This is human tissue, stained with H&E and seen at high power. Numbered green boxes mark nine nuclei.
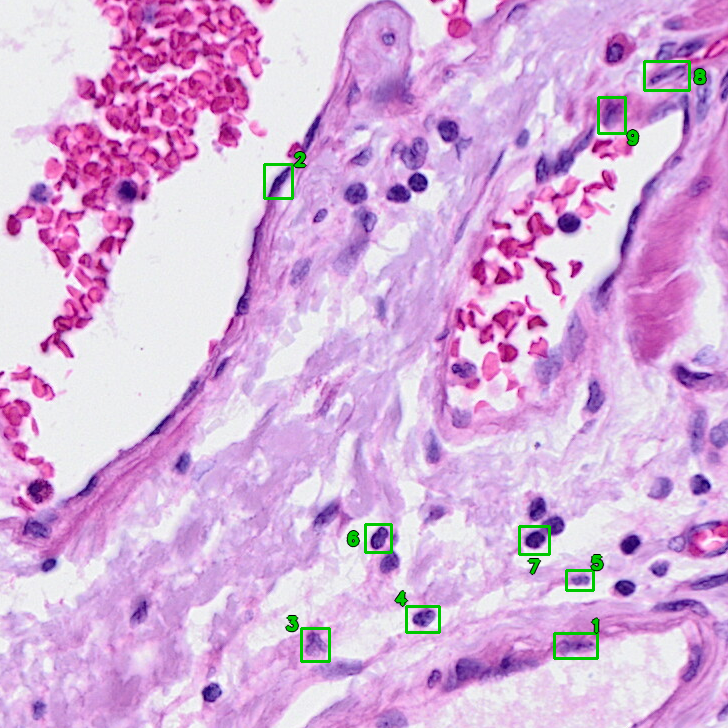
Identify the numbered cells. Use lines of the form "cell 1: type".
cell 1: endothelial cell
cell 2: endothelial cell
cell 3: macrophage or monocyte
cell 4: lymphocyte
cell 5: lymphocyte
cell 6: lymphocyte
cell 7: lymphocyte
cell 8: endothelial cell
cell 9: endothelial cell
